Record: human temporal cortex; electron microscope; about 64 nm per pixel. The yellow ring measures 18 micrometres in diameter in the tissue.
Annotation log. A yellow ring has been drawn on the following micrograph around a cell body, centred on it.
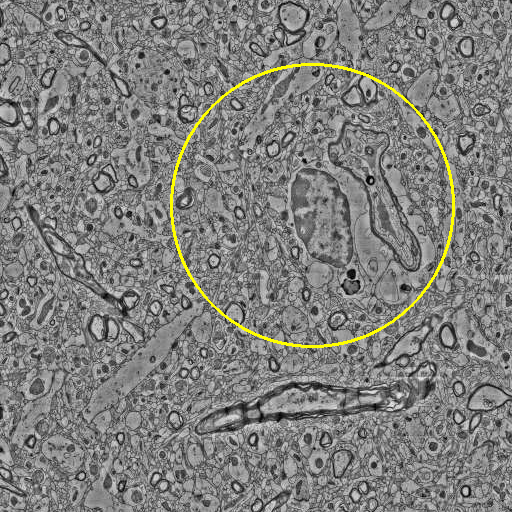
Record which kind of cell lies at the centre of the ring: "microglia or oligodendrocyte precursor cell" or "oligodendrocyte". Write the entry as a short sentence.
The cell the ring is centred on is a microglial cell or oligodendrocyte precursor cell.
